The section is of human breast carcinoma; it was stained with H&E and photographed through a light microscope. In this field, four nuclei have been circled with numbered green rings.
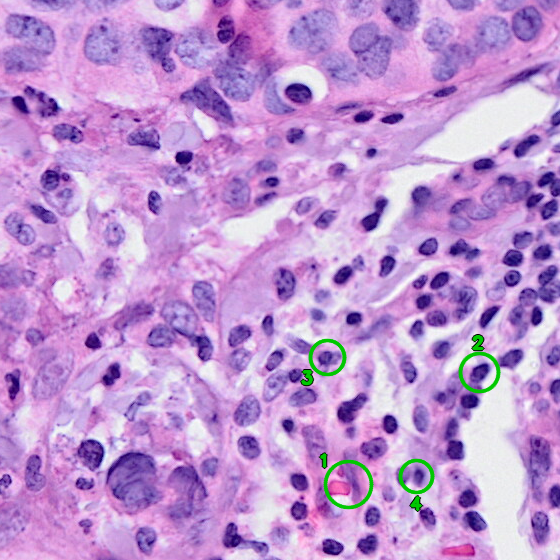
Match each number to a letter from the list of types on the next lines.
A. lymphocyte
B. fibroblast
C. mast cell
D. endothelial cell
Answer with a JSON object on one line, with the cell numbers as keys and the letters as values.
{"1": "D", "2": "A", "3": "A", "4": "A"}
